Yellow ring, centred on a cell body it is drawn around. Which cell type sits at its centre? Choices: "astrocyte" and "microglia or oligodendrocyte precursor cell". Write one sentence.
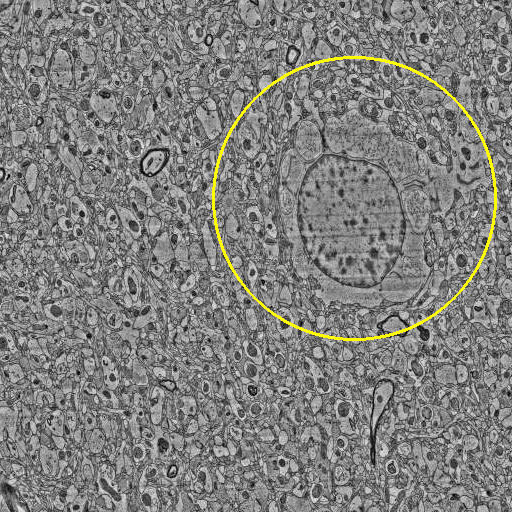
At the centre of the ring sits an astrocyte.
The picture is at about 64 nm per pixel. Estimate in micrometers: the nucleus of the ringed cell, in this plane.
In this plane the nucleus measures roughly 9 by 7 micrometres.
